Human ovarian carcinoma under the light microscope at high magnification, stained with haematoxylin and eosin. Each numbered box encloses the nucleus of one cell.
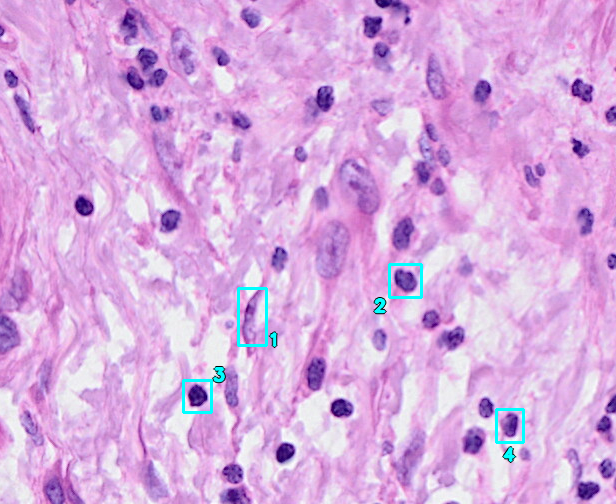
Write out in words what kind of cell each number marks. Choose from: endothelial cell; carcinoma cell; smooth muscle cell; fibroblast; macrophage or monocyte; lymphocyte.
Cell 1 is a fibroblast, cell 2 is a lymphocyte, cell 3 is a lymphocyte and cell 4 is a lymphocyte.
